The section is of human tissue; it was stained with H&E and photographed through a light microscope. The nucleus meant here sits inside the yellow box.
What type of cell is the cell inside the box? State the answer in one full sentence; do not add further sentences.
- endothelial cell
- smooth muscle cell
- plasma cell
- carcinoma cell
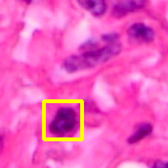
In terms of identity, the cell inside the box is a plasma cell.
